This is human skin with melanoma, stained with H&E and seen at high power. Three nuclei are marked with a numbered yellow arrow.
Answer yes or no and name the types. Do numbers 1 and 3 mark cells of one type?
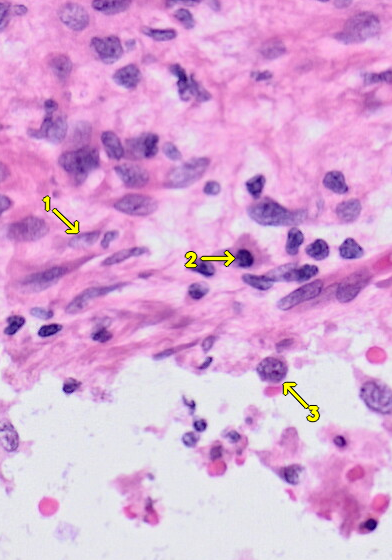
No, cell 3 is a melanoma cell, but cell 1 is a fibroblast or myofibroblast.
